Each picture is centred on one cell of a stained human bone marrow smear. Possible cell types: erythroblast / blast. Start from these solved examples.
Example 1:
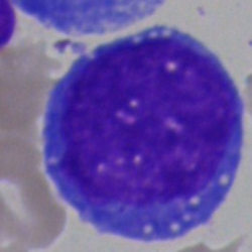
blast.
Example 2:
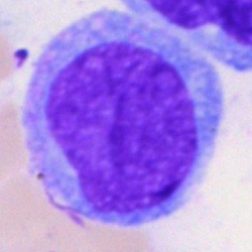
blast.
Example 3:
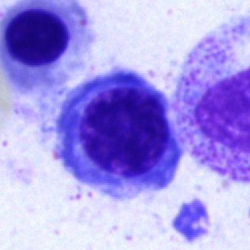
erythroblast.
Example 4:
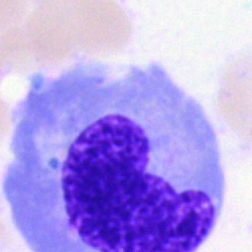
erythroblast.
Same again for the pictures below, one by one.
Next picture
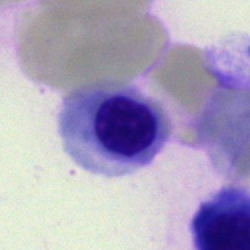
erythroblast.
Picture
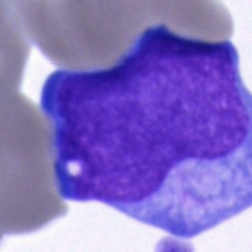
blast.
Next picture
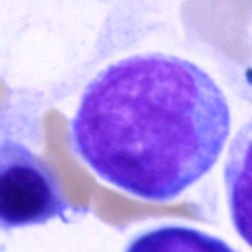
blast.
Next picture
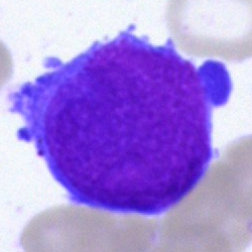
blast.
